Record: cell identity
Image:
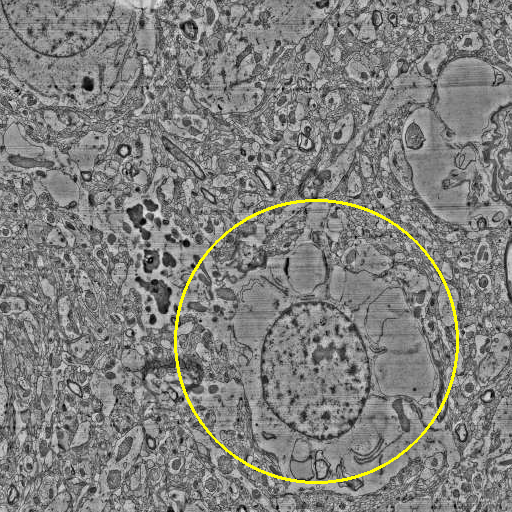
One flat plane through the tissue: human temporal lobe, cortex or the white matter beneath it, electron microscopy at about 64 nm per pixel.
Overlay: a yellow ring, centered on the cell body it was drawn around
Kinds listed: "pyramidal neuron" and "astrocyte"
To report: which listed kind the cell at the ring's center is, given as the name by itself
astrocyte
